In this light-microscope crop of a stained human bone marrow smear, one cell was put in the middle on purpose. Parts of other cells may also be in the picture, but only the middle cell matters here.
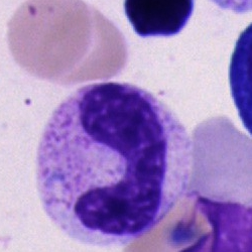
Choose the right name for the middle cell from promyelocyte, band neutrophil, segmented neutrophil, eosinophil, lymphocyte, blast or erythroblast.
band neutrophil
